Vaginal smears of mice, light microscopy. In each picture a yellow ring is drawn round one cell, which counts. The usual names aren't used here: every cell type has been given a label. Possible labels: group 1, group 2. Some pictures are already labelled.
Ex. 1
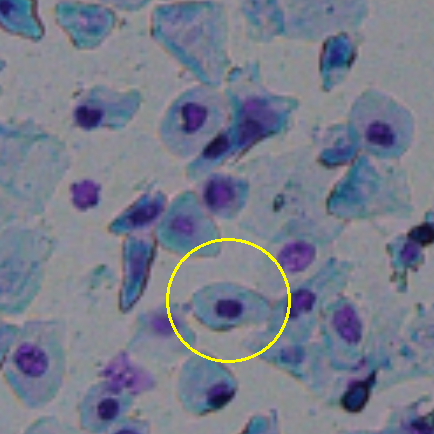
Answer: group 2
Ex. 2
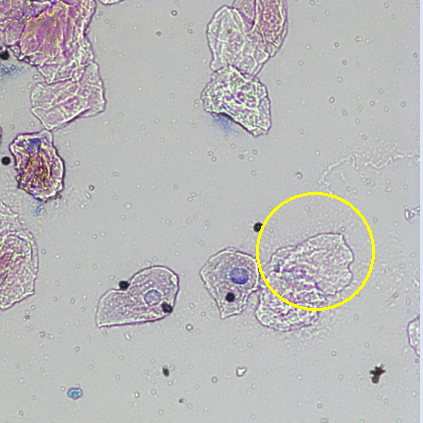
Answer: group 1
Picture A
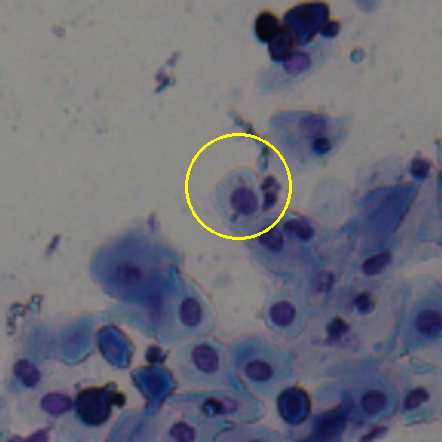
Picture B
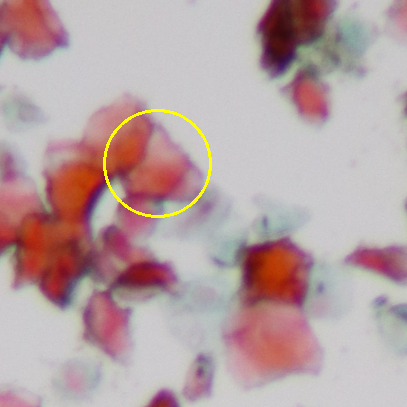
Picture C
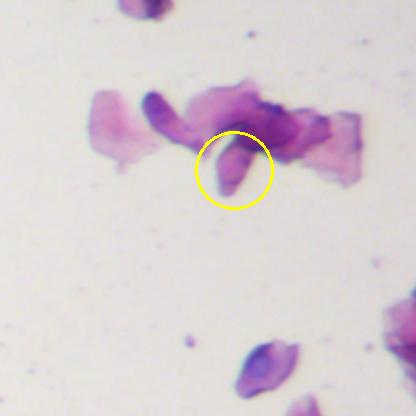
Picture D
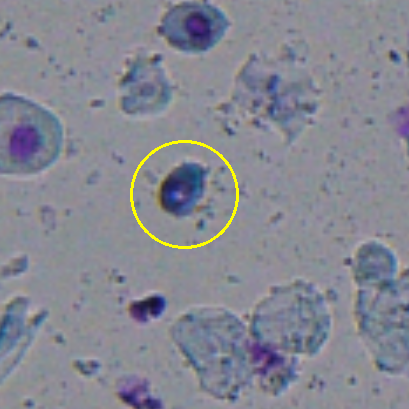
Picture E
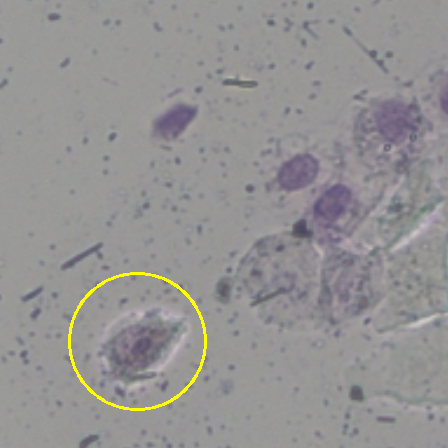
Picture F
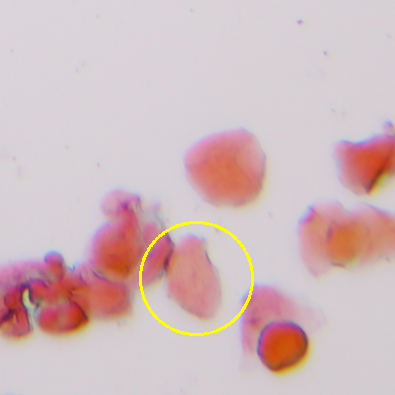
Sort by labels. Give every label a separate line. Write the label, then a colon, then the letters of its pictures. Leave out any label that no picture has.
group 1: B, C, F
group 2: A, D, E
